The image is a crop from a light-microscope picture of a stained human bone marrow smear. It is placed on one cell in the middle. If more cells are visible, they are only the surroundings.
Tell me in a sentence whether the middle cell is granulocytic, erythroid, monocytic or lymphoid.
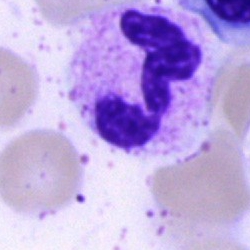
As for the middle cell, it is a member of the granulocytic lineage.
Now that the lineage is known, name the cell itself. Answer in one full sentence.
The cell sitting right in the middle is a segmented neutrophil.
